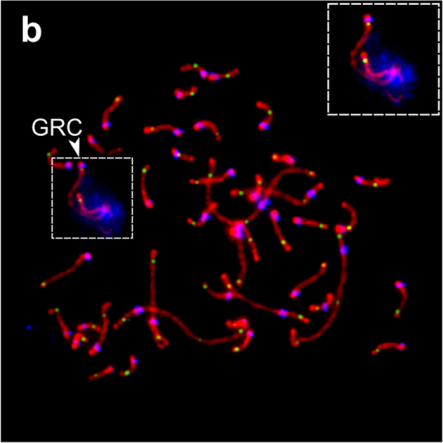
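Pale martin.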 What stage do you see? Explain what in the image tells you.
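Full set of continuous red threads of varying length. Blue dots at the ends of the threads. Green dots along the red threads.
Answer: pachytene spermatocytes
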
